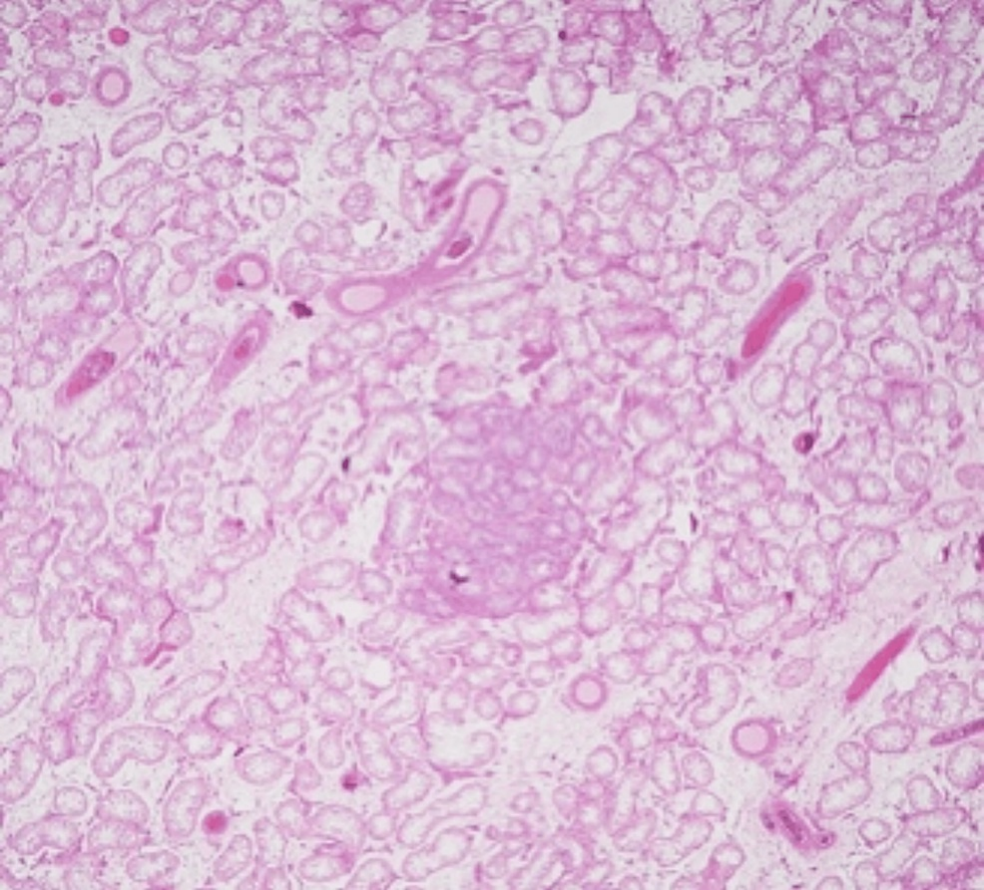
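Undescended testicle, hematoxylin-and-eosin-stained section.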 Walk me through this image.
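Low-power view of testicular tissue made up of many small, crowded tubules. The tubules are narrow, with round to elongated profiles lined by a single layer of pale pink cells, and they lack layered cells filling the lumen. Loose, pale stroma lies between them, crossed by a few vessels that hold bright pink content. In the centre lies a rounded, more compact nodule of densely packed small tubular structures, denser and more uniformly pink than the surrounding tissue. A few small dark purple deposits are scattered through the field.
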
